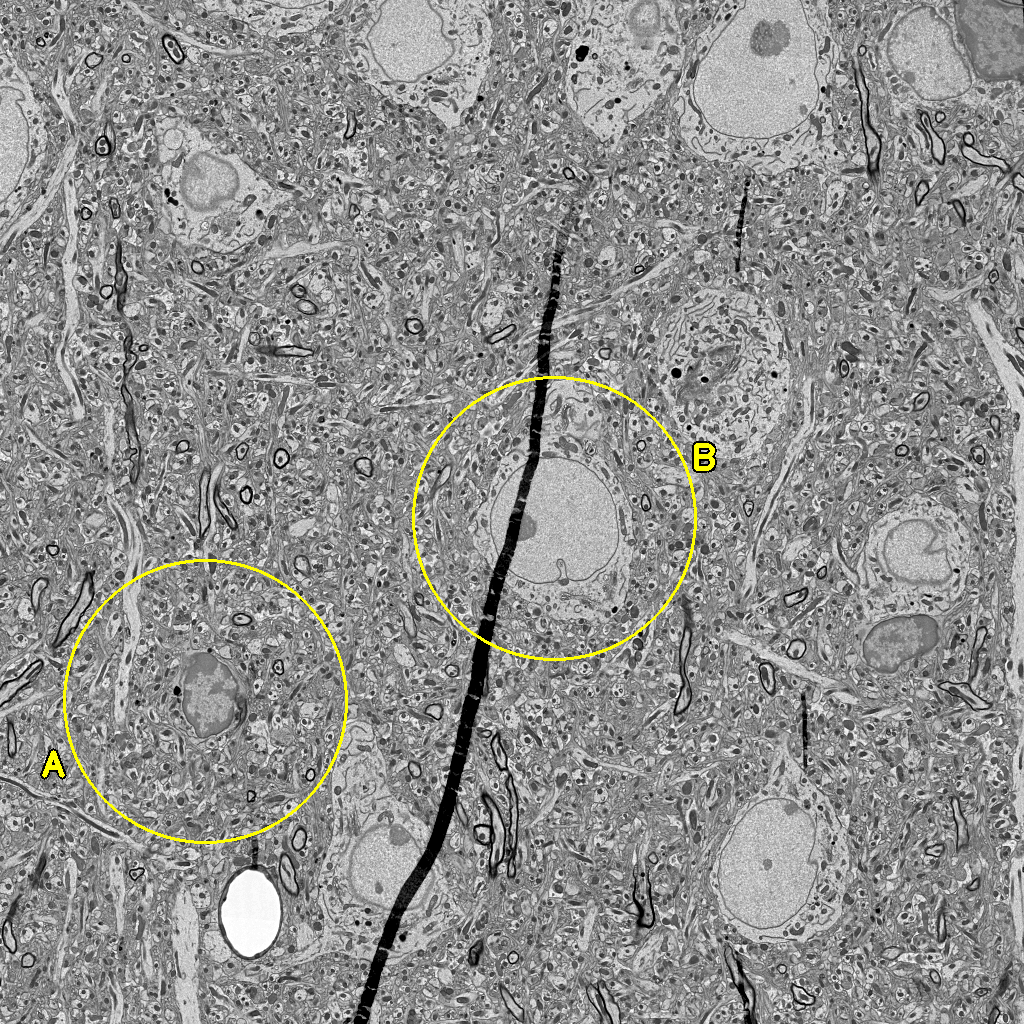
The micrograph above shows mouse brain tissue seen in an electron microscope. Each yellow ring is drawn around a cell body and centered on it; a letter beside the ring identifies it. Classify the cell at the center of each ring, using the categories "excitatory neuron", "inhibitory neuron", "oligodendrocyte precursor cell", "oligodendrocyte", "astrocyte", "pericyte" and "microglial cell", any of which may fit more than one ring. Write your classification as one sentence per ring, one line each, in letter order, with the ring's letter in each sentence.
Ring A is centered on a microglial cell.
Ring B is centered on an excitatory neuron.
